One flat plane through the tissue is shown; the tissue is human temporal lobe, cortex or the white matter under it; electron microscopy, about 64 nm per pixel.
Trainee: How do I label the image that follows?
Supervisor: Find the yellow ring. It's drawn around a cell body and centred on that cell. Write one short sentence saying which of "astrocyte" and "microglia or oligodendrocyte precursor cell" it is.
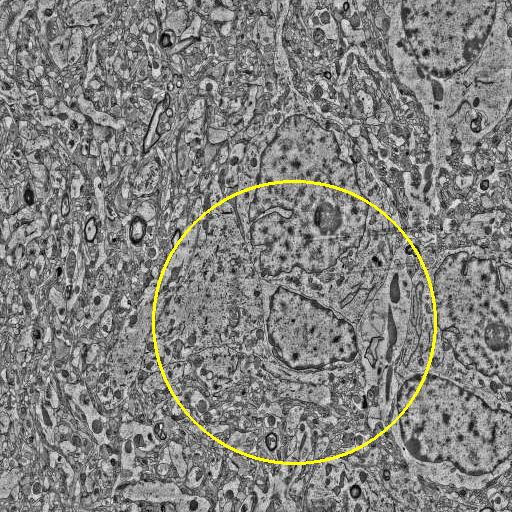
This is the cell body of a microglial cell or oligodendrocyte precursor cell.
